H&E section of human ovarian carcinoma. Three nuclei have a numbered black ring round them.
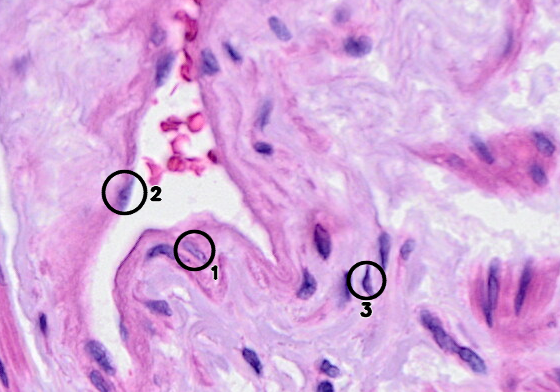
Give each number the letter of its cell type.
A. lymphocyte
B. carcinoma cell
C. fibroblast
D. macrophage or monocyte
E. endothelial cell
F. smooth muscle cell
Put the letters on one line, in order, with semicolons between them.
F; E; C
